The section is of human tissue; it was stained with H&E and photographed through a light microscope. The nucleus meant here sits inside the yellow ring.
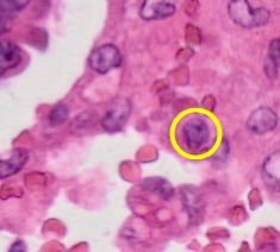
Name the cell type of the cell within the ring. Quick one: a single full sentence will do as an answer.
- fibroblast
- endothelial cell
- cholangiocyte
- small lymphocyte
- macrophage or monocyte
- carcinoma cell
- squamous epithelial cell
In this field of tissue, the cell within the ring is a macrophage or monocyte.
